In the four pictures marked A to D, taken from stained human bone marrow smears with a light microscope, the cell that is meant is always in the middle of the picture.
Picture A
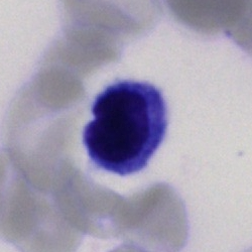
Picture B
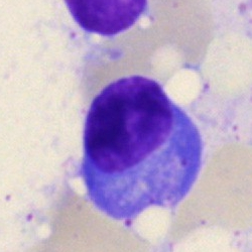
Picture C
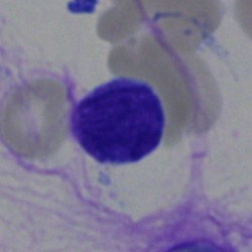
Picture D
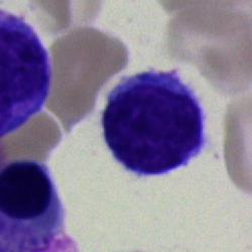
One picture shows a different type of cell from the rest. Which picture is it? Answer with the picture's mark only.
B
